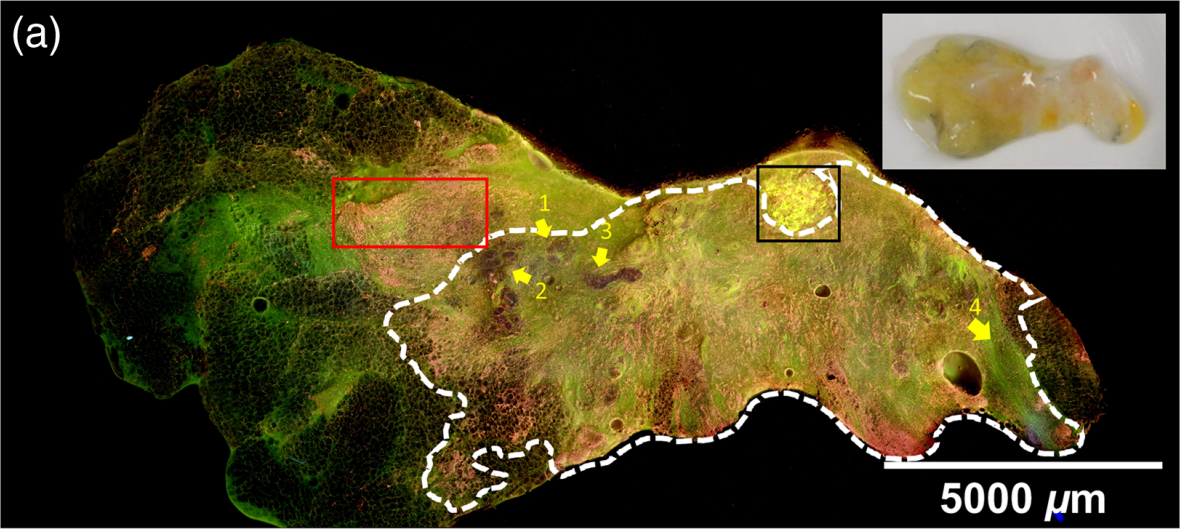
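The fat appears as a dark green honeycomb of small rounded droplets. The central region within the dashed outline appears yellow and pink, with a streaked texture and a few dark rounded holes.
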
